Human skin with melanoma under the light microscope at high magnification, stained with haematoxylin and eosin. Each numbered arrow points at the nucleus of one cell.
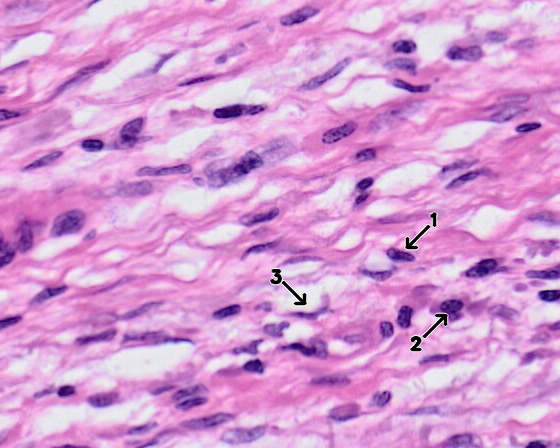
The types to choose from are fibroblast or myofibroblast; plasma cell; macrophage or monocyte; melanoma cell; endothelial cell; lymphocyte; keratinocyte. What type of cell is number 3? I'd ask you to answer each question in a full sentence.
The nucleus with number 3 is that of a fibroblast or myofibroblast.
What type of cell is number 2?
The nucleus labeled 2 belongs to a plasma cell.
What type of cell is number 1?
The cell given label 1 is a lymphocyte.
